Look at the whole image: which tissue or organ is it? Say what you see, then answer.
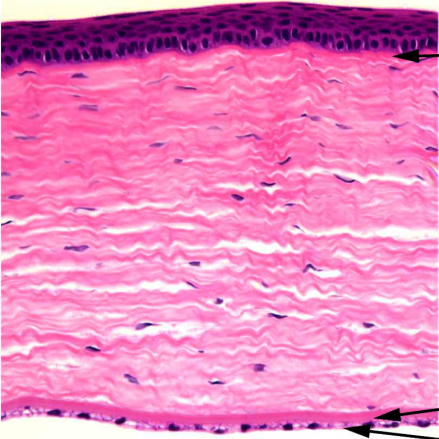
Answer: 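Cornea. A stratified epithelium covers the top surface. A thick, regularly layered, sparsely cellular pink stroma fills most of the panel. A single flat cell layer lines the bottom surface.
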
